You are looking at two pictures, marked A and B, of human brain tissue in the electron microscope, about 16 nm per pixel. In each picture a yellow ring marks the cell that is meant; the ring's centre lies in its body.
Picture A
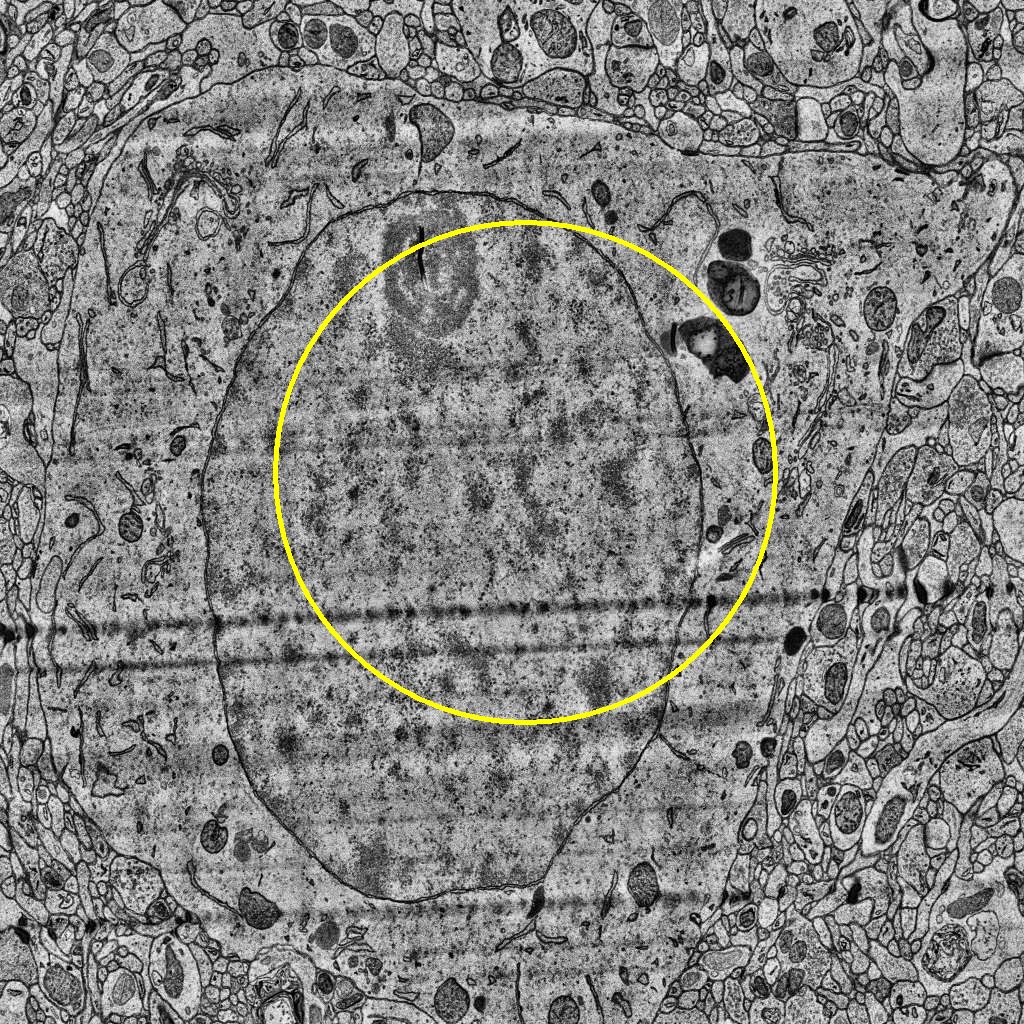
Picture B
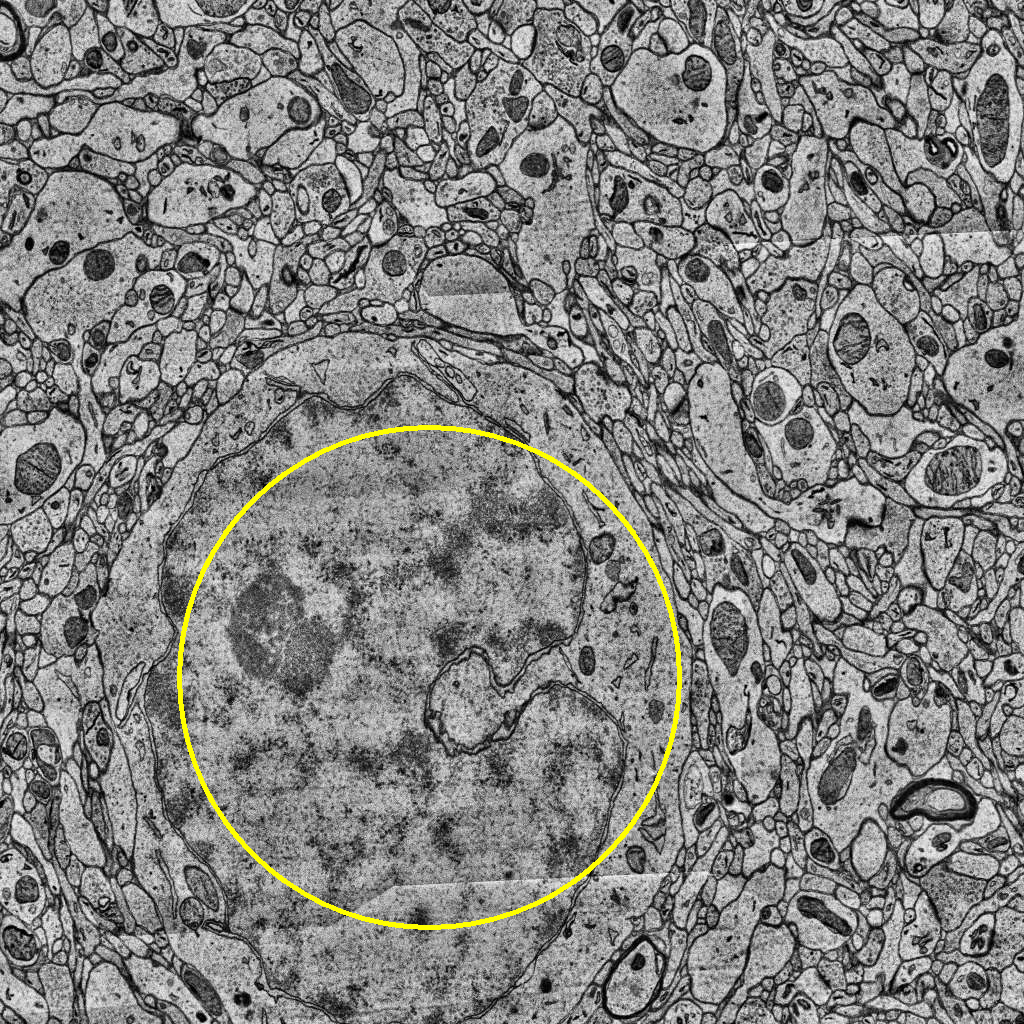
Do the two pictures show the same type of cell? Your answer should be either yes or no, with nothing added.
no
